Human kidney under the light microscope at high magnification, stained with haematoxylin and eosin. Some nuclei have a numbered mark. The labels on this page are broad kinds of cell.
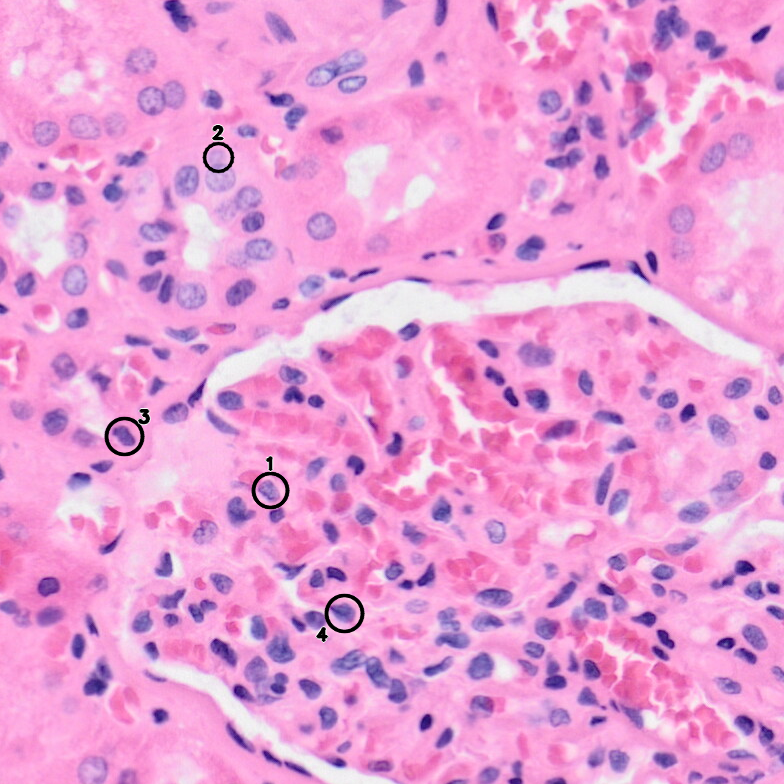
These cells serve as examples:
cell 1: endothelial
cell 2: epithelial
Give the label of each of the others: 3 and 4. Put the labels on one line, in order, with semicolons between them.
epithelial; endothelial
